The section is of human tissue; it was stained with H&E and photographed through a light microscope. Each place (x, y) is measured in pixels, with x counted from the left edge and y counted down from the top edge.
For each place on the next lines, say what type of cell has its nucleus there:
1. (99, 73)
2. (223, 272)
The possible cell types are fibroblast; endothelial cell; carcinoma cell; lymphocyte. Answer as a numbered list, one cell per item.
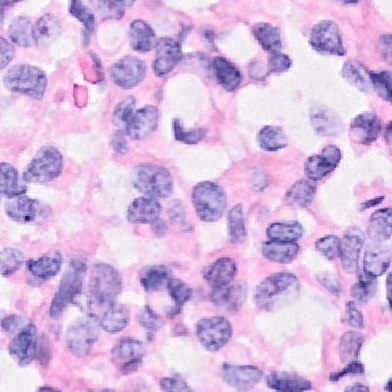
1. endothelial cell
2. carcinoma cell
